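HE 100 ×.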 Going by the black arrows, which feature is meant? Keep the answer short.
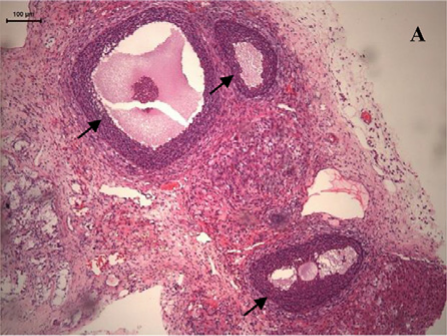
Ovarian follicles.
